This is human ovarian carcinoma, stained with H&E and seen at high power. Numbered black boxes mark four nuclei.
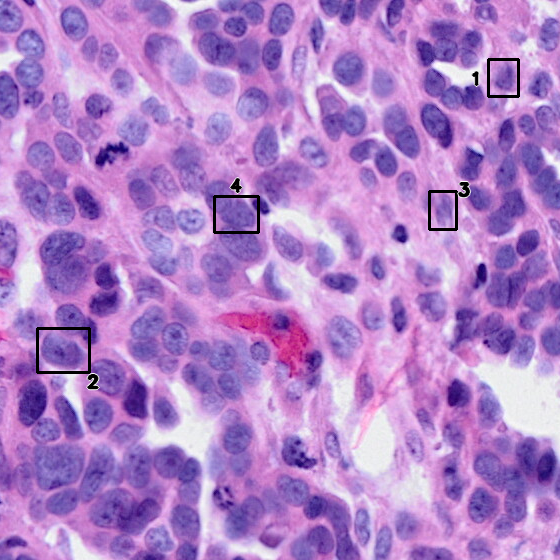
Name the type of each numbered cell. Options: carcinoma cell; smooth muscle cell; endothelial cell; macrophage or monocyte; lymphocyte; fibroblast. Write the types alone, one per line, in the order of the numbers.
macrophage or monocyte
carcinoma cell
fibroblast
carcinoma cell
